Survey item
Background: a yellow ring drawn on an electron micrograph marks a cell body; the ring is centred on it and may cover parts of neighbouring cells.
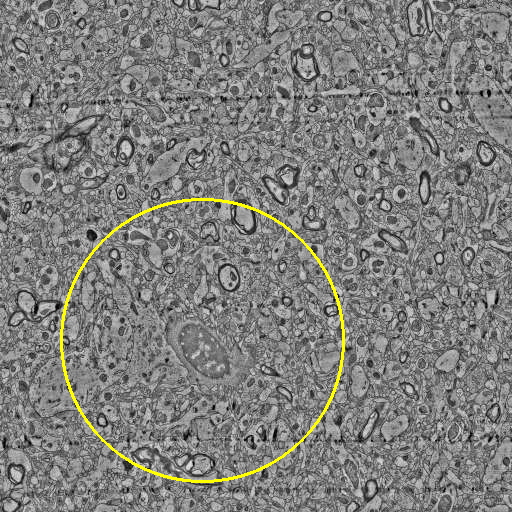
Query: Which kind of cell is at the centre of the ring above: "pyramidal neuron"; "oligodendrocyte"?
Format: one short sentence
The cell in the middle of the ring is an oligodendrocyte.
